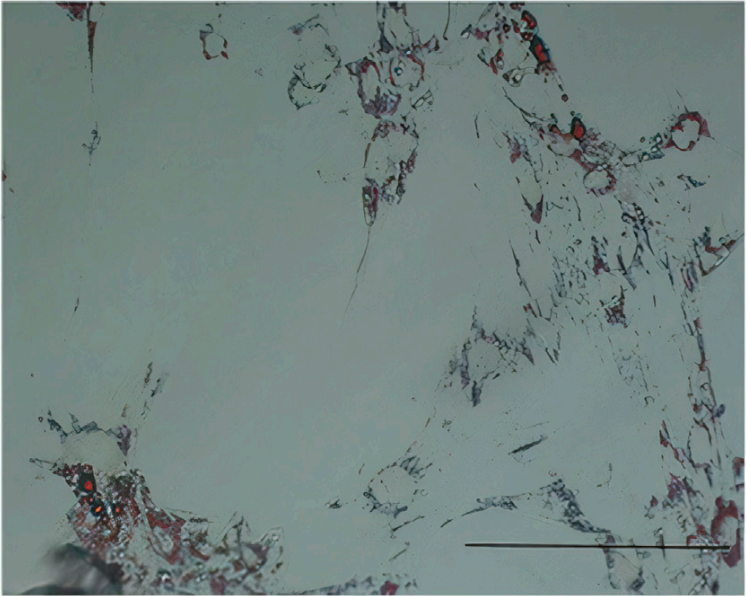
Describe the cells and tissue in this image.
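Sparse cultured adipocytes lying on a pale, largely empty background. Several cells are rounded, each with a clear central space bounded by a thin rim of cytoplasm. Red-stained droplets of varying size sit within some cells, most densely at the lower left and upper right of the field. Other cells are flattened or spindle-shaped, with thin strands of bluish-grey cytoplasm. The cells gather in loose clusters along the edges of the field, leaving broad open areas between them.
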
